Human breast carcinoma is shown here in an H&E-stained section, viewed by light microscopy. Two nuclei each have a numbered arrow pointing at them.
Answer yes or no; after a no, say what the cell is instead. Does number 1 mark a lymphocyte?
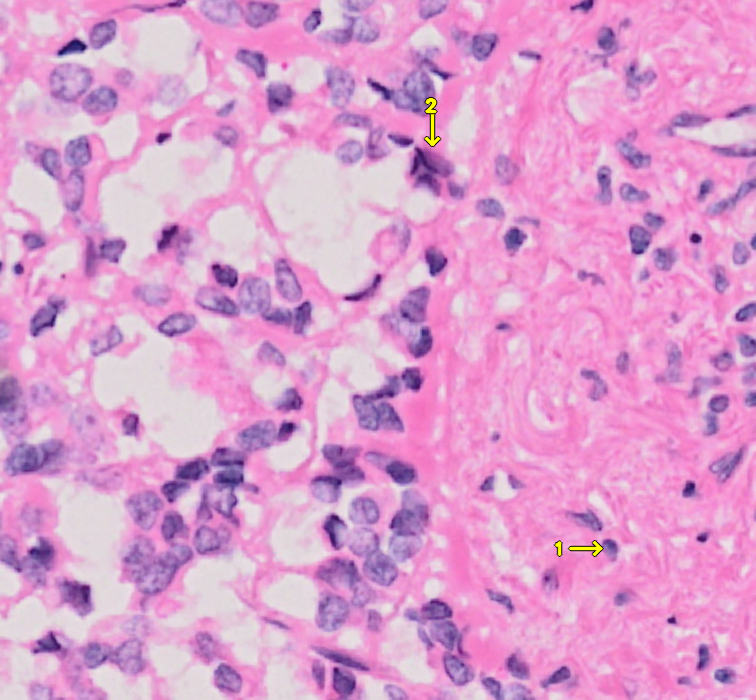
Yes.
